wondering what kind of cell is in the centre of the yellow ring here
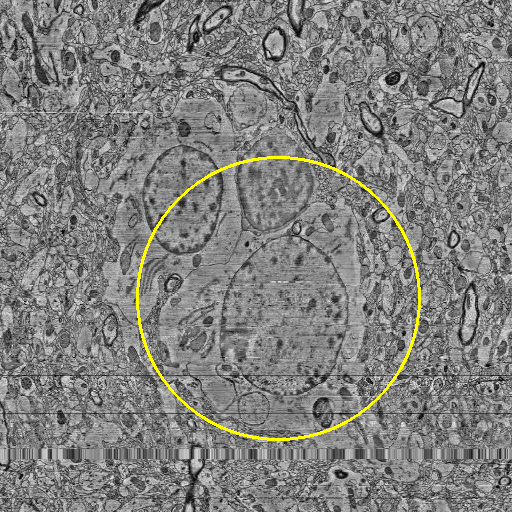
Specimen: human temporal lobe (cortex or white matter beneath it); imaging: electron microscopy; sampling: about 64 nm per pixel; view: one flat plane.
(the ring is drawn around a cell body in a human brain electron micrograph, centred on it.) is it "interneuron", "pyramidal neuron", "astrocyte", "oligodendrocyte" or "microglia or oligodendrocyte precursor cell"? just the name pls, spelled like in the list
astrocyte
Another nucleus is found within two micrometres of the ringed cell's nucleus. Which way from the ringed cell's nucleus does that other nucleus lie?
The other nucleus lies above it.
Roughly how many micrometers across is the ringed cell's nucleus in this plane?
In this plane the nucleus measures roughly 11 by 8 micrometres.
